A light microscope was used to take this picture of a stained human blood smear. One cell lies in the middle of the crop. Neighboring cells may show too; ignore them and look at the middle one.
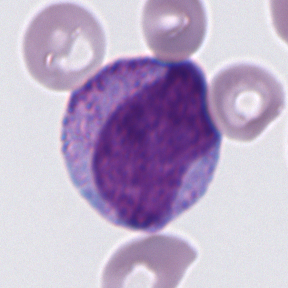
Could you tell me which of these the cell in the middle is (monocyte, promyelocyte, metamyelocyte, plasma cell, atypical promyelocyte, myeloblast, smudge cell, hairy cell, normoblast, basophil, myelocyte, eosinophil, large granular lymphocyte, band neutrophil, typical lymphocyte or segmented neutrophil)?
atypical promyelocyte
